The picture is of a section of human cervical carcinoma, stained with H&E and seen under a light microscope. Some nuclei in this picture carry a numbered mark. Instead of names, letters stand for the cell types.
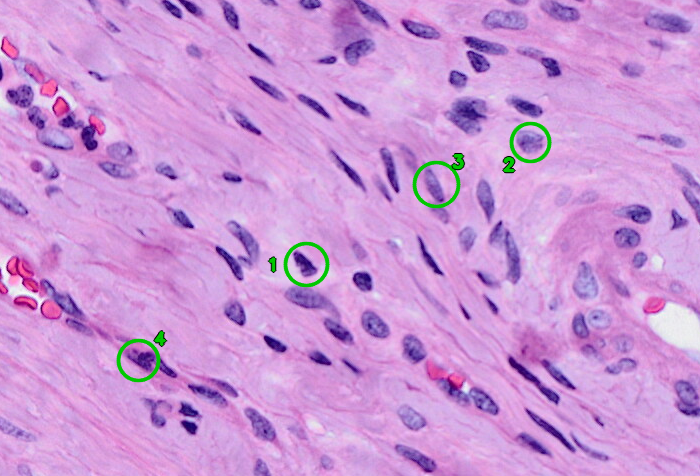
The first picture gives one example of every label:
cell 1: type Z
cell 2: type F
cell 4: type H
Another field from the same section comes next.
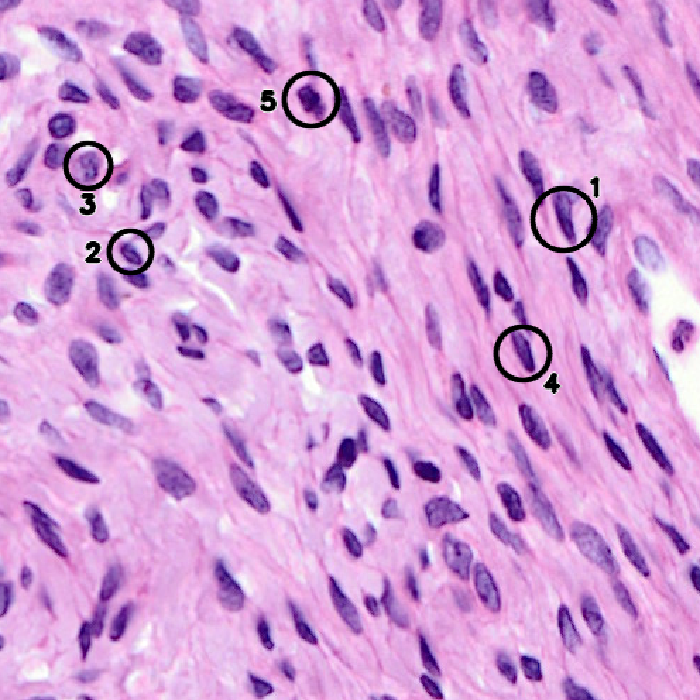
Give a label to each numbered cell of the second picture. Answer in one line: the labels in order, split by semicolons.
type F; type F; type H; type F; type Z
